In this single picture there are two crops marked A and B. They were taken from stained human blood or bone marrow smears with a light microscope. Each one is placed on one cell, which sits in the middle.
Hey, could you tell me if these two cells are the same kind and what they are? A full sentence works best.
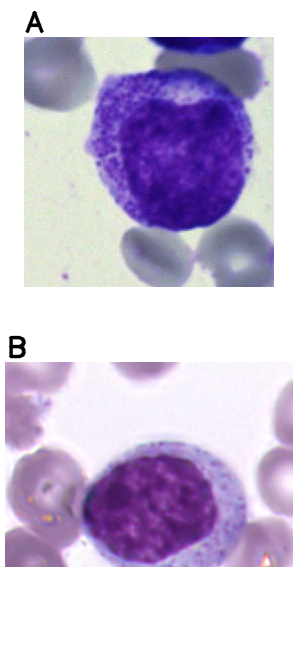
No, a myelocyte occupies the middle of crop A, and a metamyelocyte the middle of crop B.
